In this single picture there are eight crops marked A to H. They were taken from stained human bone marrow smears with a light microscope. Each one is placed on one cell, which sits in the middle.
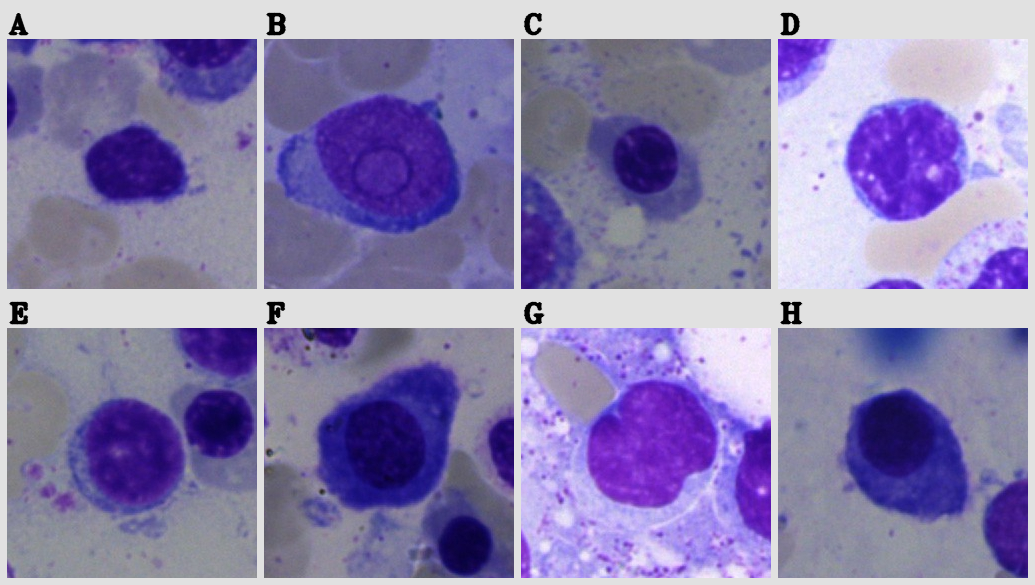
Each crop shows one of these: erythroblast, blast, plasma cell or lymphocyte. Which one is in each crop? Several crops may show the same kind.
A: lymphocyte
B: blast
C: erythroblast
D: lymphocyte
E: lymphocyte
F: plasma cell
G: blast
H: plasma cell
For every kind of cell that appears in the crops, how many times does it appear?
lymphocyte: 3
blast: 2
plasma cell: 2
erythroblast: 1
